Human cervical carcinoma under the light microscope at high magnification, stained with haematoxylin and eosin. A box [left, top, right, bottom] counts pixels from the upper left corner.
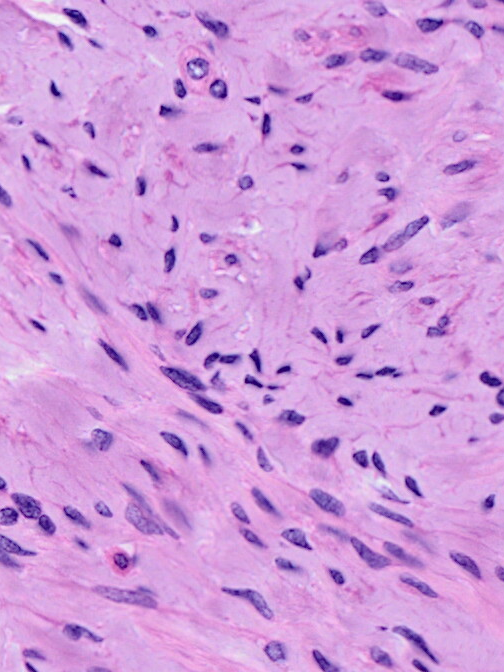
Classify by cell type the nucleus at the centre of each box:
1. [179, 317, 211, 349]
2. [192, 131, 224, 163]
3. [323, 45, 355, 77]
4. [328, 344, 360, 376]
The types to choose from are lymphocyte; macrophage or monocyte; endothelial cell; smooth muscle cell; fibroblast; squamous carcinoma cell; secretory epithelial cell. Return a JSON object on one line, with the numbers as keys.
{"1": "fibroblast", "2": "fibroblast", "3": "smooth muscle cell", "4": "fibroblast"}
